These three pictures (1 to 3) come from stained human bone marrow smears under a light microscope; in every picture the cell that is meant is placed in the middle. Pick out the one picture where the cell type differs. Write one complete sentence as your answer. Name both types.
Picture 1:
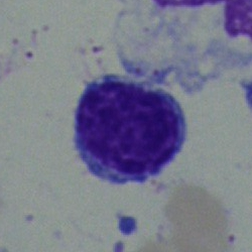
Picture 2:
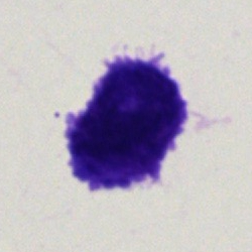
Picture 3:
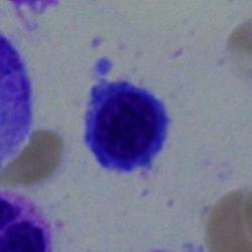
Unlike the rest, which show lymphocytes, picture 2 shows a blast.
